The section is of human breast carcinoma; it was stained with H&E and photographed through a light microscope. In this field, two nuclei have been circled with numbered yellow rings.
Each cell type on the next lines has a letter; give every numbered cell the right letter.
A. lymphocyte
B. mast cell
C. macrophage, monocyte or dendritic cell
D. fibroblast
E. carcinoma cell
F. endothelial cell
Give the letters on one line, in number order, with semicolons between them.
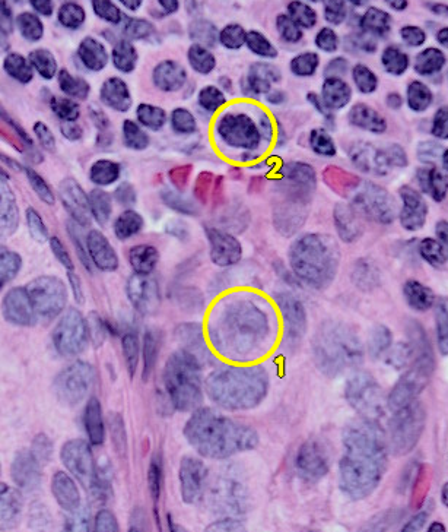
E; A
